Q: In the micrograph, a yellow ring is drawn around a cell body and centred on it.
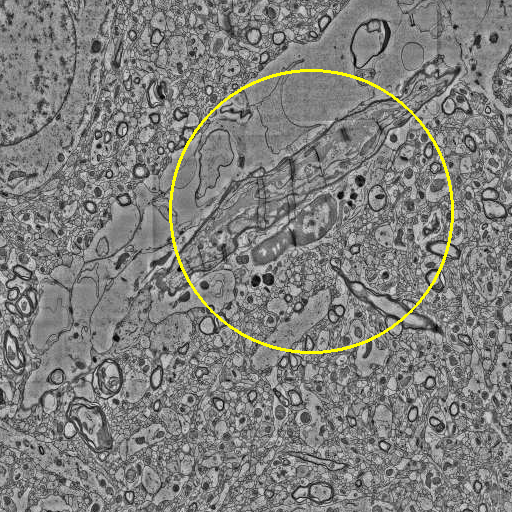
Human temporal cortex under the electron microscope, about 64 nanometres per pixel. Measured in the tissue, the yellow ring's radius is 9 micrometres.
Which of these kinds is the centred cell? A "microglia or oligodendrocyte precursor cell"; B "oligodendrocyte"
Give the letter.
A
